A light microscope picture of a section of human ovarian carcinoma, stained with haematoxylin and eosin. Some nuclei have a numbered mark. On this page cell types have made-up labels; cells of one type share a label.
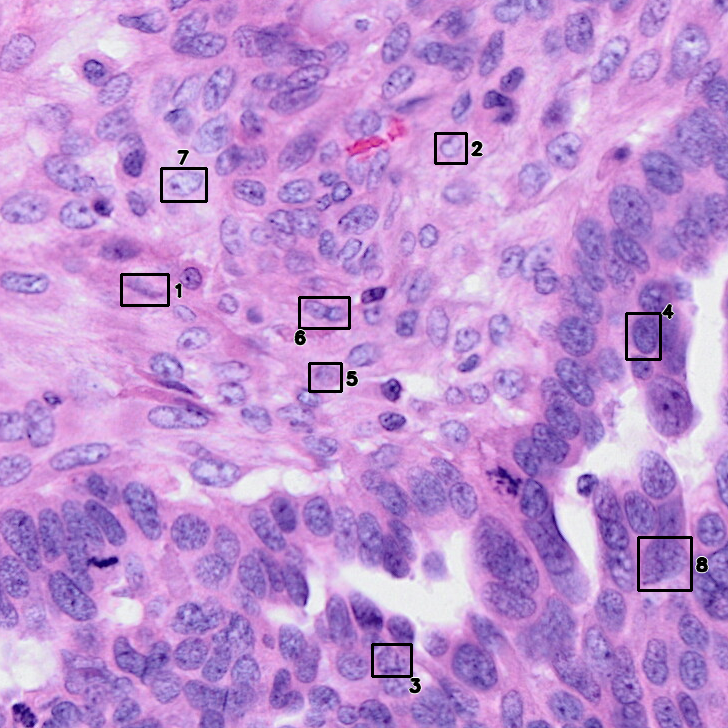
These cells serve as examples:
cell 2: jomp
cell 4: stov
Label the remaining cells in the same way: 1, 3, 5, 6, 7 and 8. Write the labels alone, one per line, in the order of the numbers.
jomp
stov
jomp
jomp
jomp
stov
